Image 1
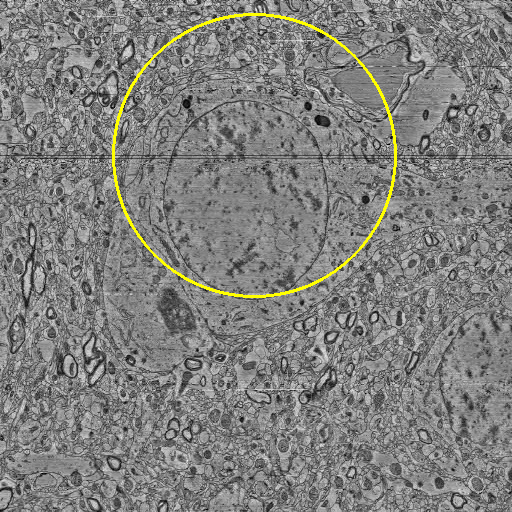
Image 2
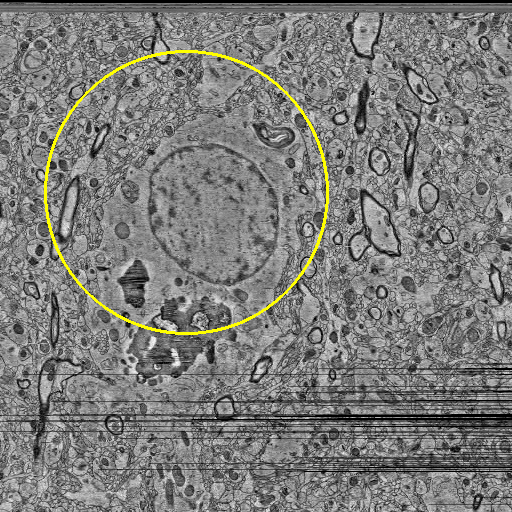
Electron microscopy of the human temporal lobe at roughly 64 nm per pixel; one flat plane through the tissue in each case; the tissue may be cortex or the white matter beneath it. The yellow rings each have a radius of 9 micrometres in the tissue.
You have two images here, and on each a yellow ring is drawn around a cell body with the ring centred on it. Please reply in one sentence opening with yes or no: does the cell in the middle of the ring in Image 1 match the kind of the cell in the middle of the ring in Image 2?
No, the two images show cells of two kinds at the centres of their rings.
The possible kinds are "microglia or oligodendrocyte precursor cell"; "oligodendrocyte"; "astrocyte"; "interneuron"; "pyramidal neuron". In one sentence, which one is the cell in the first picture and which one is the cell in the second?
The cell ringed in the second picture is an astrocyte, whereas the one ringed in the first is a pyramidal neuron.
